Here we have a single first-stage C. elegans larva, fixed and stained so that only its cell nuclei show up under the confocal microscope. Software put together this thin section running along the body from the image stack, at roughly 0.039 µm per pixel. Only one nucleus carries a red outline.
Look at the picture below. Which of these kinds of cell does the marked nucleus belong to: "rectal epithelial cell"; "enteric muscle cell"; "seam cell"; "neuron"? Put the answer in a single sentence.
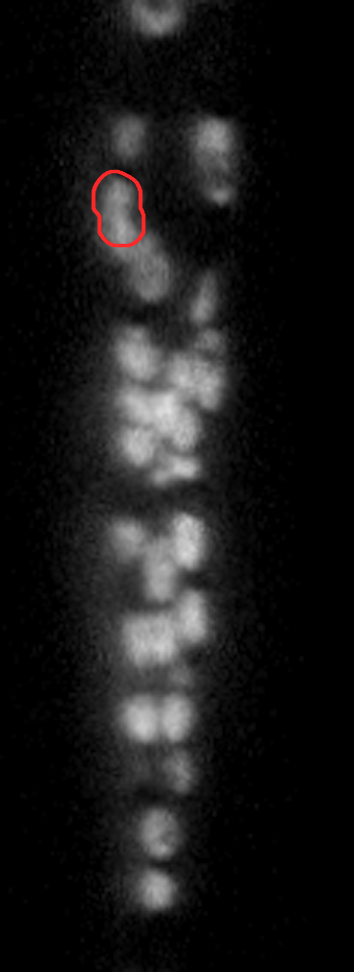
The marked nucleus is that of an enteric muscle cell.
